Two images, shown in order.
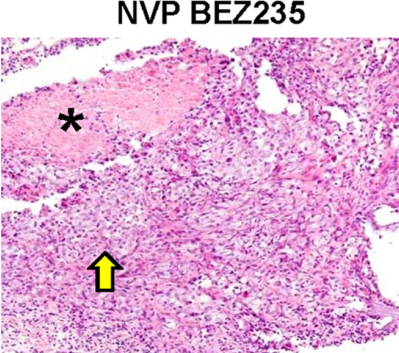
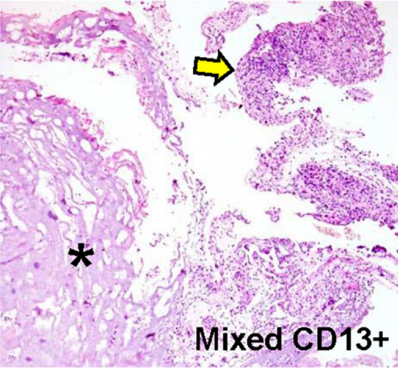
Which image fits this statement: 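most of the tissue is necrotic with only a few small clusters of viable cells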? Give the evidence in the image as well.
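First image: the necrotic pink patch is small and most of the field is cellular. Second image: large pale acellular areas and empty spaces dominate, with only small cell clusters. On this evidence: the second image.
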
